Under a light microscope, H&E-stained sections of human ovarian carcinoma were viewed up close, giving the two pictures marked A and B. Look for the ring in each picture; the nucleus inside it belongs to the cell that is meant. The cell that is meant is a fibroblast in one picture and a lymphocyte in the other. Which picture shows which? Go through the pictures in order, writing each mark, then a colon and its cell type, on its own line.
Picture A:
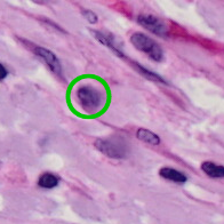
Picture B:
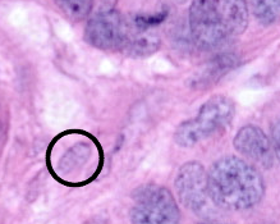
A: lymphocyte
B: fibroblast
